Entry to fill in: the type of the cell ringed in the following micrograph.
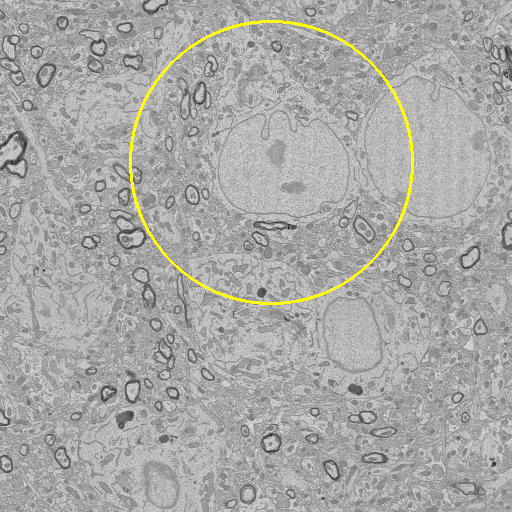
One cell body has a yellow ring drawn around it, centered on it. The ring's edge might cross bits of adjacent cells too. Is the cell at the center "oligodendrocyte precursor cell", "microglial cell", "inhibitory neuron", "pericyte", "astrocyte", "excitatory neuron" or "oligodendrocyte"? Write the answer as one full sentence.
This entry names an excitatory neuron as the cell whose body lies at the ring's center.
